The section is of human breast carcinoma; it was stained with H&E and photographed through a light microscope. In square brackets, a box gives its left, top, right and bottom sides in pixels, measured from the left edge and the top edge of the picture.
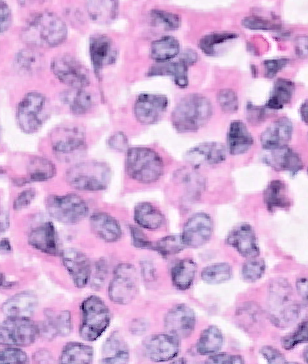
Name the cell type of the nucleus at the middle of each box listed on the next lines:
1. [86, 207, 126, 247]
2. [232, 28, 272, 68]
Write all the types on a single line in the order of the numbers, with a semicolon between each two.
carcinoma cell; endothelial cell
